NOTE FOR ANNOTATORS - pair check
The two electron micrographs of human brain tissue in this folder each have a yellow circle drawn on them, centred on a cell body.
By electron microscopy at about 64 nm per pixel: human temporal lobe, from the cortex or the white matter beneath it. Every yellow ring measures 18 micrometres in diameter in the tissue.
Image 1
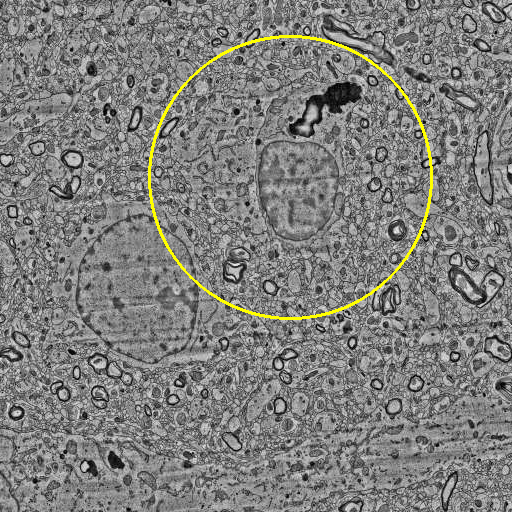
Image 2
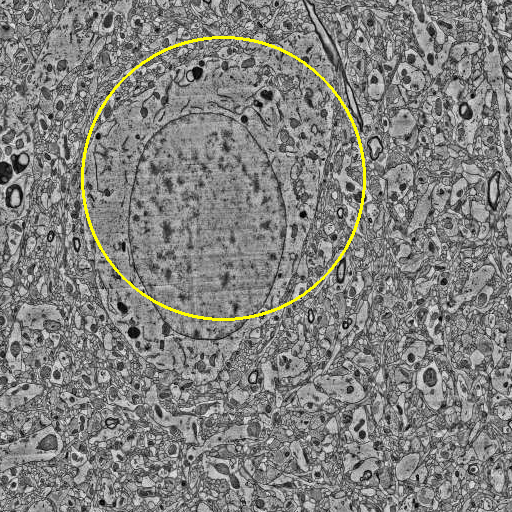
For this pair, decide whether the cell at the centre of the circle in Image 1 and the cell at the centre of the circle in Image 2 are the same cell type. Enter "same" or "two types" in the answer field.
two types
